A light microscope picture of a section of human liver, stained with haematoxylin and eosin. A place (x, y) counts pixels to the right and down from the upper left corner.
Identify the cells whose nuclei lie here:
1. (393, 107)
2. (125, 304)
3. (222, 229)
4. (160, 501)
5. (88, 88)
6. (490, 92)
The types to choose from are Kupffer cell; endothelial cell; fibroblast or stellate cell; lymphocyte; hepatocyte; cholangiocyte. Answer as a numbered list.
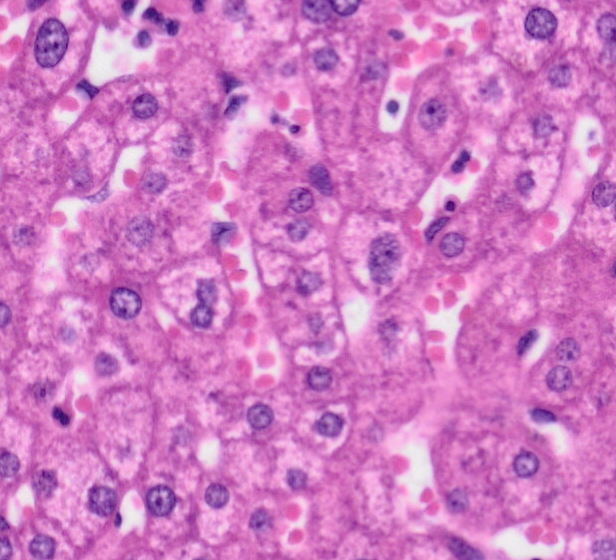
1. lymphocyte
2. hepatocyte
3. endothelial cell
4. hepatocyte
5. endothelial cell
6. hepatocyte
